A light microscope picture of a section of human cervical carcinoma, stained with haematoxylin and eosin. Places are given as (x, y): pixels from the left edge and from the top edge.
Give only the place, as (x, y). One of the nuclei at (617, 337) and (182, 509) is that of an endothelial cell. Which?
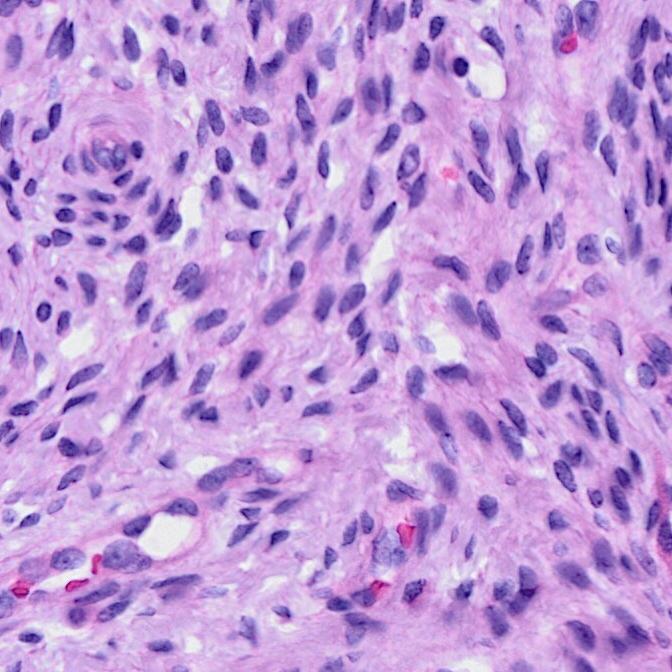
(182, 509)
